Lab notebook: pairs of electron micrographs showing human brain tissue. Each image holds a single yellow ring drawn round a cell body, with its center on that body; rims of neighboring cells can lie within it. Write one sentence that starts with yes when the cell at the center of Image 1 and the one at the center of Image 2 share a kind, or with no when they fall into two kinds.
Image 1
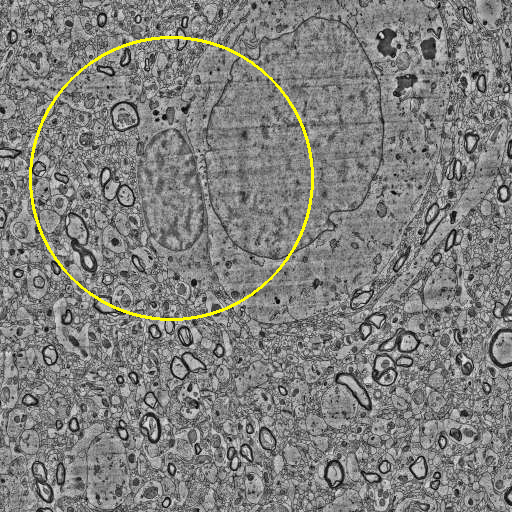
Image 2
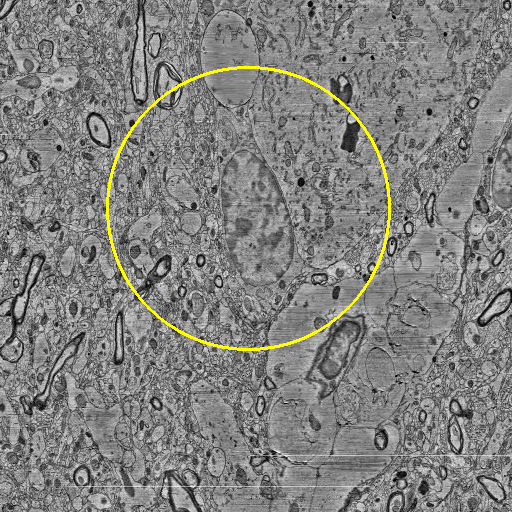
Yes, the centered cell in Image 1 and the centered cell in Image 2 are of one kind.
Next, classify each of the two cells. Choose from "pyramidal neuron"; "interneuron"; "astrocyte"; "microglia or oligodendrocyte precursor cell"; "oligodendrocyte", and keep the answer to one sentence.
Both pictures show an oligodendrocyte at the centre of the ring.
